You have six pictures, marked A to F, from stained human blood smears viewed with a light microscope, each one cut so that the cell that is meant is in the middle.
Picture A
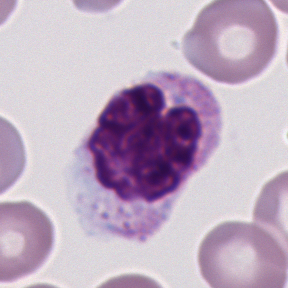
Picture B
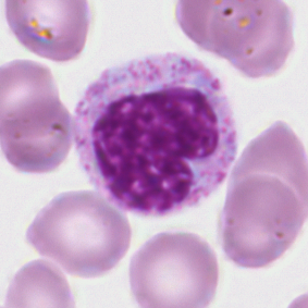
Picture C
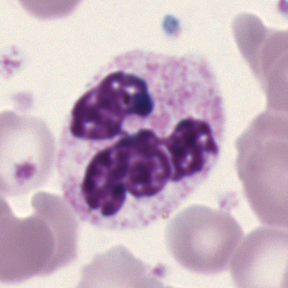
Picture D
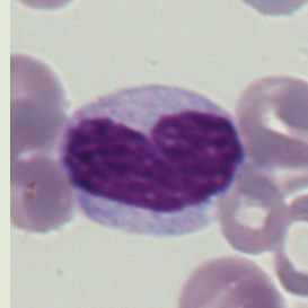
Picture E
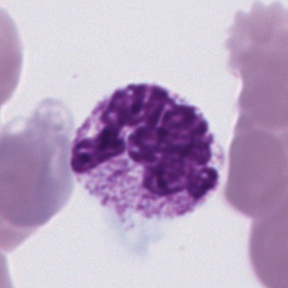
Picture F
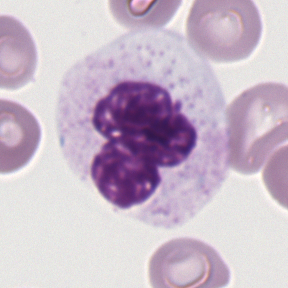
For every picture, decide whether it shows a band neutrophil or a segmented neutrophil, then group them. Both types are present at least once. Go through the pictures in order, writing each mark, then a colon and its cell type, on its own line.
A: segmented neutrophil
B: band neutrophil
C: segmented neutrophil
D: band neutrophil
E: segmented neutrophil
F: segmented neutrophil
